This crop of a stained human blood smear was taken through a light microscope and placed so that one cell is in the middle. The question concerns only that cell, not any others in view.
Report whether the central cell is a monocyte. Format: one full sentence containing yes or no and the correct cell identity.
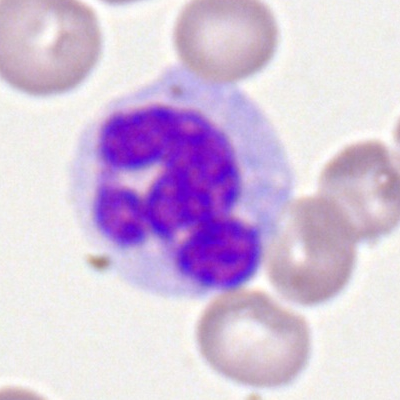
Yes, the cell shown in the middle is a monocyte.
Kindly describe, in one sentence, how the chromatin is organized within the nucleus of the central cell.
The chromatin pattern here is coarse and clumped.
